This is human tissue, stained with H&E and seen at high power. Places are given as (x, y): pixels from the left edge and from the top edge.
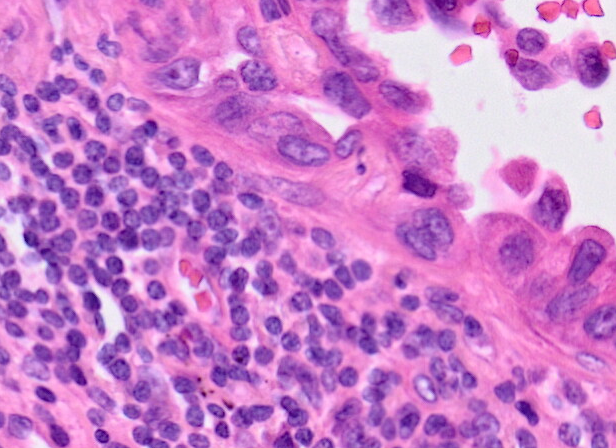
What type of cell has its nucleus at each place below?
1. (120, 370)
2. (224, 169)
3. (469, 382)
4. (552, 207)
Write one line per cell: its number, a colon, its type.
1: lymphocyte
2: lymphocyte
3: lymphocyte
4: carcinoma cell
